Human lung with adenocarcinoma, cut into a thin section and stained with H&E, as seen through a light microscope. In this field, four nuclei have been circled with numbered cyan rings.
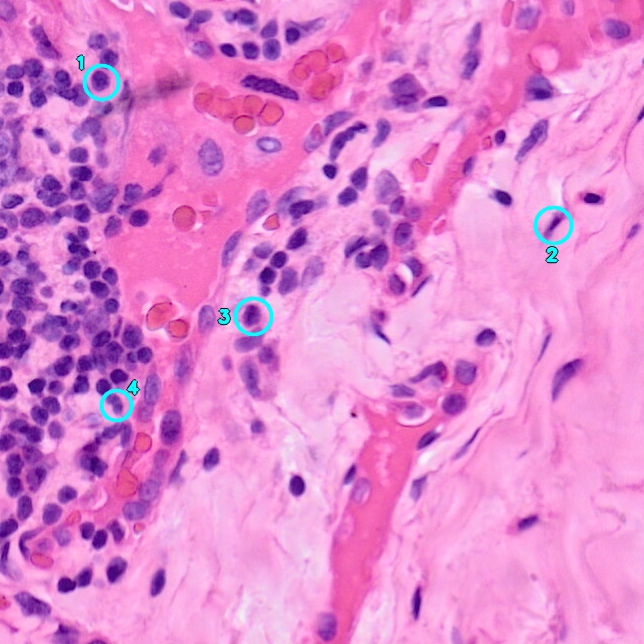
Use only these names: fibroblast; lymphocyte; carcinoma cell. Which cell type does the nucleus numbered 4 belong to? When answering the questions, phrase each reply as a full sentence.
The cell numbered 4 represents a lymphocyte.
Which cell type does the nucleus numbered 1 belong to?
The mark numbered 1 indicates the nucleus of a lymphocyte.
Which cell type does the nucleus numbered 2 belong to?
The cell bearing label 2 corresponds to a fibroblast.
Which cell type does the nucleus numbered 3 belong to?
The cell indicated by marker 3 is a lymphocyte in this section.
